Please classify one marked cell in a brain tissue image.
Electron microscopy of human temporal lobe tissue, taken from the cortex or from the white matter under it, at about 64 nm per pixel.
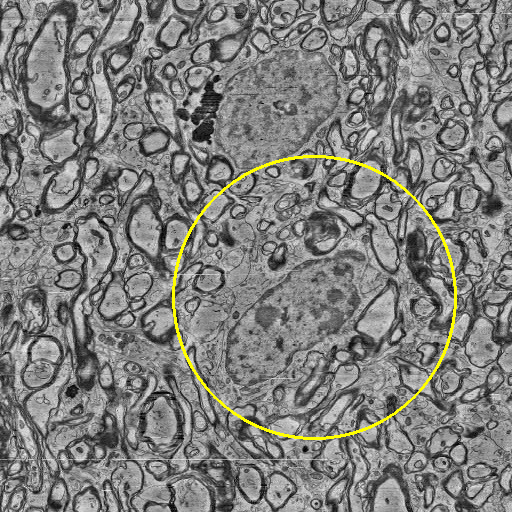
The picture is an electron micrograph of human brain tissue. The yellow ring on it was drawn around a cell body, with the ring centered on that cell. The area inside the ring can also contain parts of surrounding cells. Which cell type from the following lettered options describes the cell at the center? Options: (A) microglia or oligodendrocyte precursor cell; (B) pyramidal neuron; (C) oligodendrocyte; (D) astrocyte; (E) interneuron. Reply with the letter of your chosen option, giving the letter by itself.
A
